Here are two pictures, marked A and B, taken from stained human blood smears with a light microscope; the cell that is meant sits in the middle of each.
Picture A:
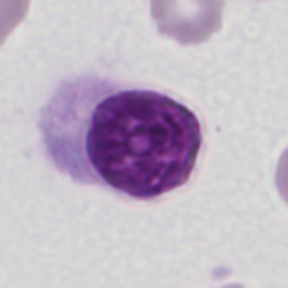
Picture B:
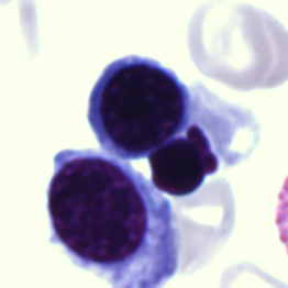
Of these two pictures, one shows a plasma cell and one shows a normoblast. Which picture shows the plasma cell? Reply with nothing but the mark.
A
